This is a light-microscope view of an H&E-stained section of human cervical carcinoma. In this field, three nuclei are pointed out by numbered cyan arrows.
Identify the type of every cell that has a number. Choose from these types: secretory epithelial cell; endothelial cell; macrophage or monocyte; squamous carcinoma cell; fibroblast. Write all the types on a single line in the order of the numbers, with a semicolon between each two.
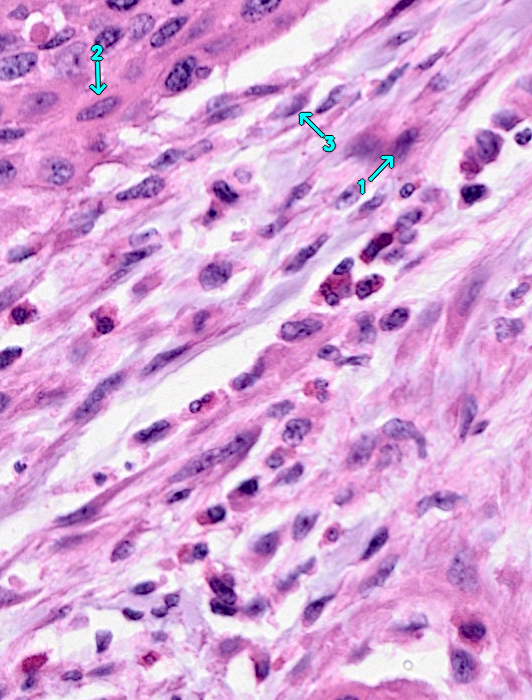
endothelial cell; squamous carcinoma cell; fibroblast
